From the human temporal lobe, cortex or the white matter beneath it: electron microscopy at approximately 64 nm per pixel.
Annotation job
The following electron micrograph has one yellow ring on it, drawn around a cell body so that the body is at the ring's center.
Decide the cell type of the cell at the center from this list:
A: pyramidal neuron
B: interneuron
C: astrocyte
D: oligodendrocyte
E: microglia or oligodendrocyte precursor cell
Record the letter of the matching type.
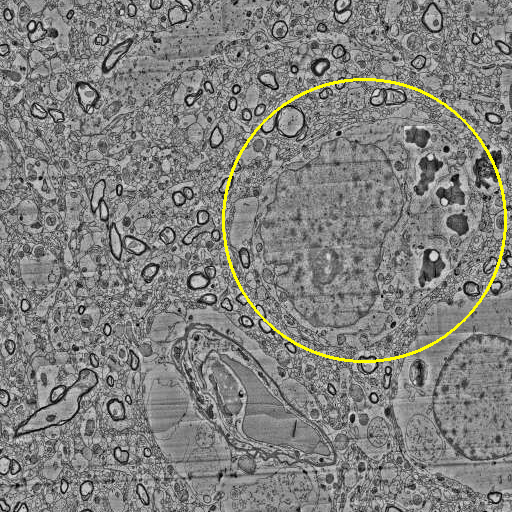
B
